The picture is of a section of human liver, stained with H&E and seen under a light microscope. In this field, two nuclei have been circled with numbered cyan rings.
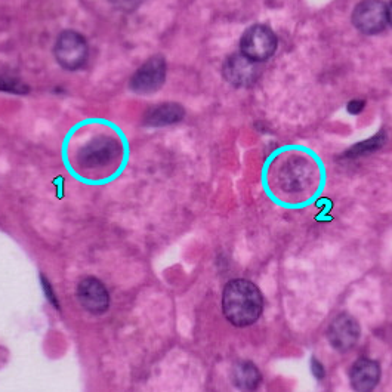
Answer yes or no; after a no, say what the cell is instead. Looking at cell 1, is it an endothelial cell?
Yes.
